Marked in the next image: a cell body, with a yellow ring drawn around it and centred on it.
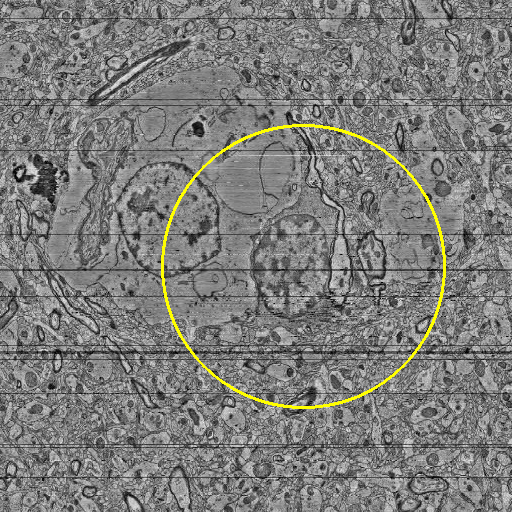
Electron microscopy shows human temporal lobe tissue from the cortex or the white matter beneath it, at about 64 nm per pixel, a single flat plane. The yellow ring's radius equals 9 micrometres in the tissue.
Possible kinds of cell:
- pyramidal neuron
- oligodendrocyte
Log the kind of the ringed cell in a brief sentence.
The ringed cell body is that of an oligodendrocyte.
